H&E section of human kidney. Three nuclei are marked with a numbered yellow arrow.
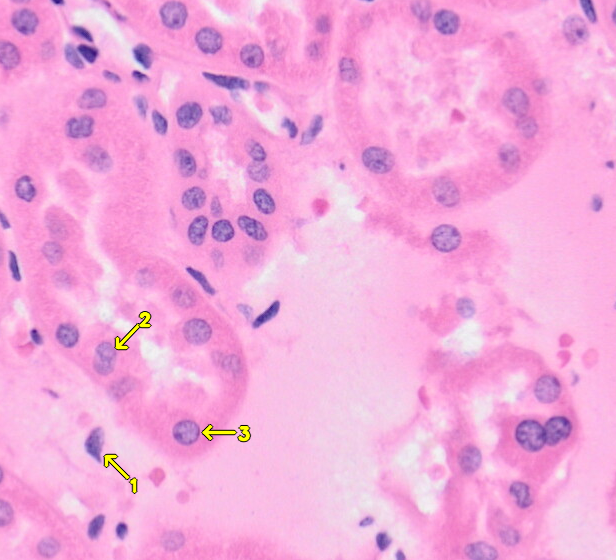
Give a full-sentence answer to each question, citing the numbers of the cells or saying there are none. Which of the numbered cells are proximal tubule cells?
The cells 2 and 3 in this section are proximal tubule cells.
